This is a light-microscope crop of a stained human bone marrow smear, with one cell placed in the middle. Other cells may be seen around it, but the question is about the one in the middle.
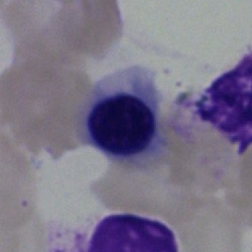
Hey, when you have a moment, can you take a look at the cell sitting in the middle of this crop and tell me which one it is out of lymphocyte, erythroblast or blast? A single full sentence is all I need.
The cell positioned in the middle of the field is an erythroblast.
